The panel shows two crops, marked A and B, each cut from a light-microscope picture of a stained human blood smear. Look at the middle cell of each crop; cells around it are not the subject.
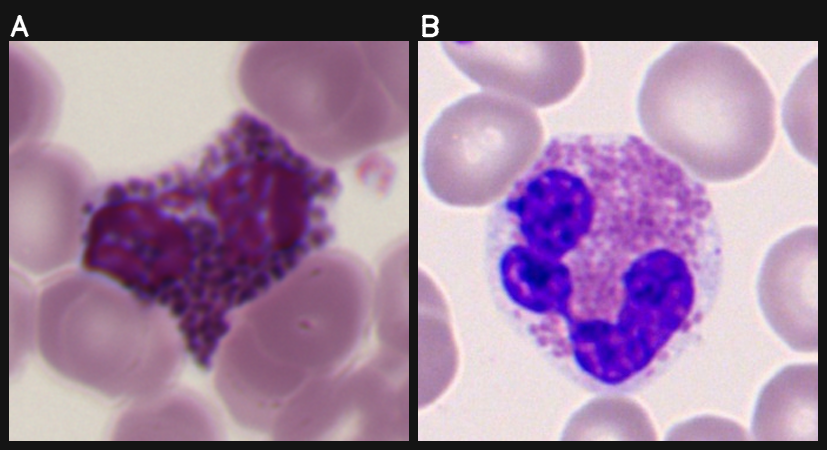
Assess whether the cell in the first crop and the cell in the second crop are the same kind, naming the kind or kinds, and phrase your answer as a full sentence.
Yes, both crops show eosinophils as their central cells.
